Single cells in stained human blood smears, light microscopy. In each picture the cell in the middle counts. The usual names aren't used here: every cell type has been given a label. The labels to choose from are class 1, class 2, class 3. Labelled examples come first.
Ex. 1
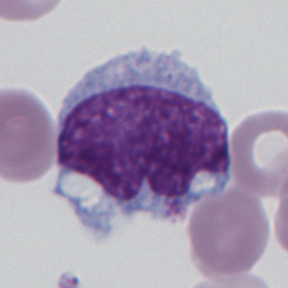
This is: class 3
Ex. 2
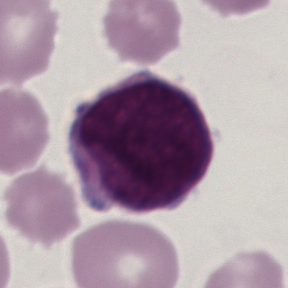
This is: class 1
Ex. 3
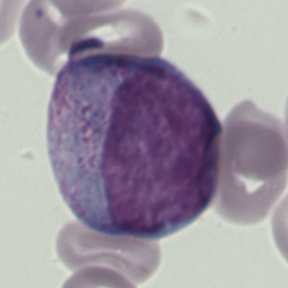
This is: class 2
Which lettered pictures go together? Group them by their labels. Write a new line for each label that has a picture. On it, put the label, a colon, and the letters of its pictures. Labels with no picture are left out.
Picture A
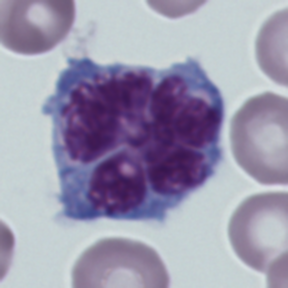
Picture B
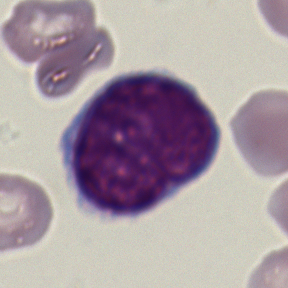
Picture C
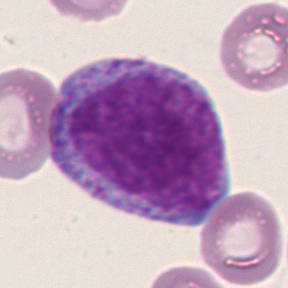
class 1: B
class 2: C
class 3: A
